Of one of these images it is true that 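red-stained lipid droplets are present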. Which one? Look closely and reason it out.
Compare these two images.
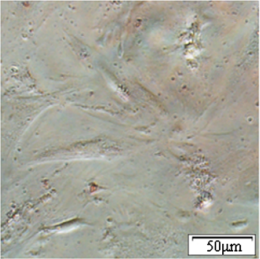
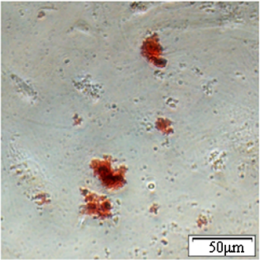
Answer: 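First image: elongated flattened cells with almost no red staining. Second image: several clusters of red-orange droplets. On this evidence: the second image.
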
